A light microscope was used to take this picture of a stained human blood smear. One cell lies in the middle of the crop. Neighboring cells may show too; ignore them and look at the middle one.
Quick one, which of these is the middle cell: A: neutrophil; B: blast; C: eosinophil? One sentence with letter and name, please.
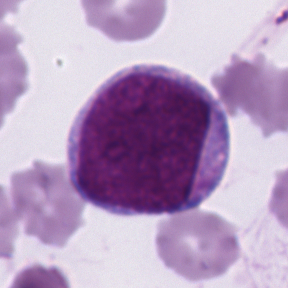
Option B stands as correct, the central cell being a blast.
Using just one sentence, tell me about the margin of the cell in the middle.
Expected answer: a smooth cell outline without projections of any sort.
